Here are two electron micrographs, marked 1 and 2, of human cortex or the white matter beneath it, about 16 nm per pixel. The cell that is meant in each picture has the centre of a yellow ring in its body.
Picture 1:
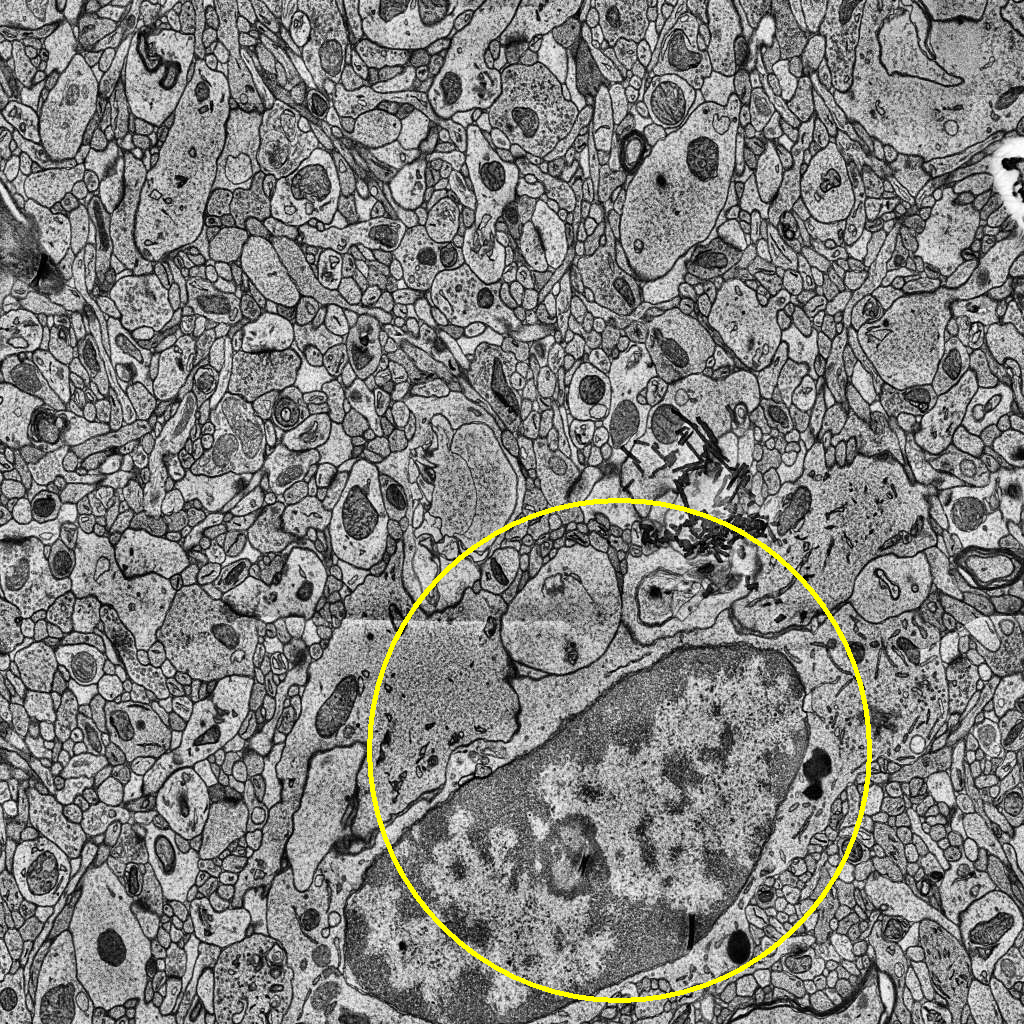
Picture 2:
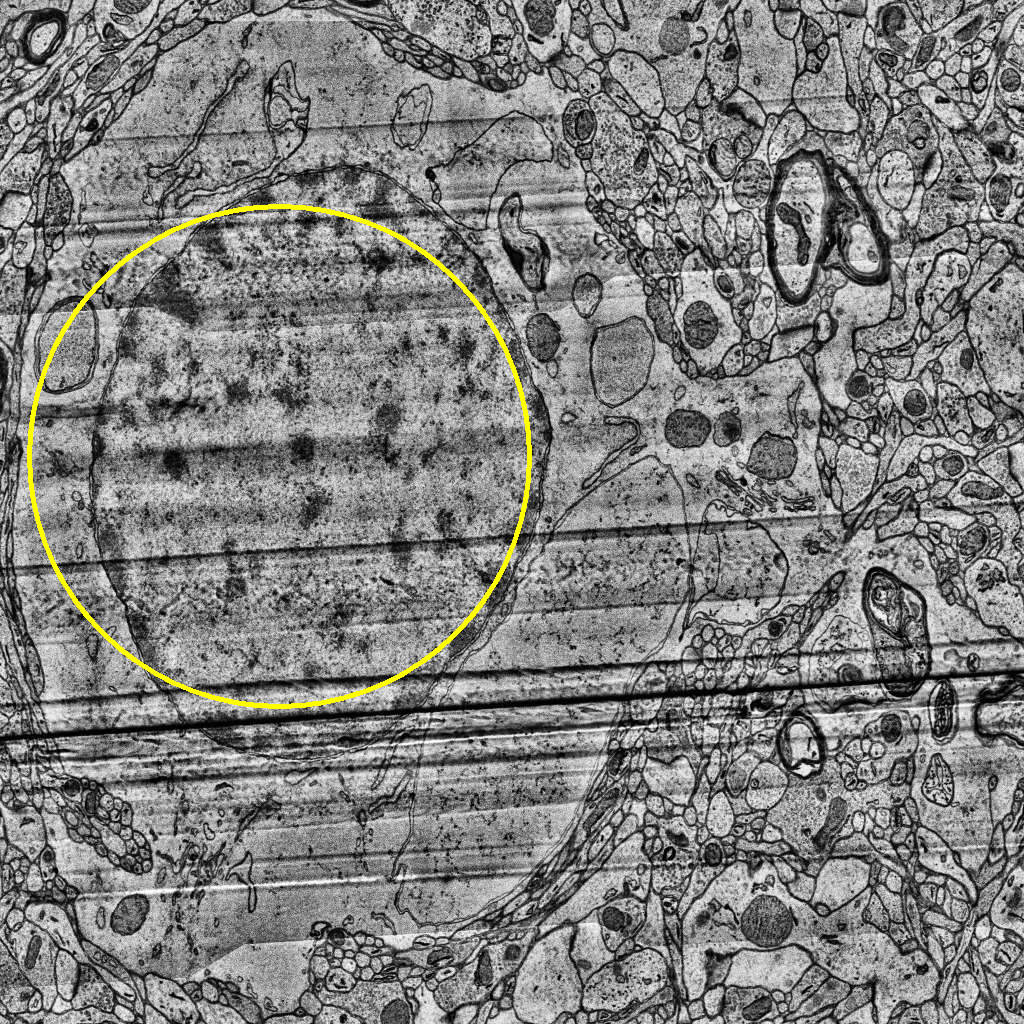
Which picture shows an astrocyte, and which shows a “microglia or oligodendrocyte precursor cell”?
In picture 1 the cell is a “microglia or oligodendrocyte precursor cell”; in picture 2, an astrocyte.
